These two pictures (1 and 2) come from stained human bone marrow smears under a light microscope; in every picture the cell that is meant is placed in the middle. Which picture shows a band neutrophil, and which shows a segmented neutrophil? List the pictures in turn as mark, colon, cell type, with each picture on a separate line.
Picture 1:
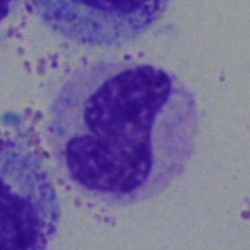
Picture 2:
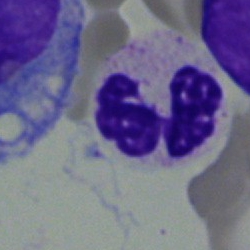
1: band neutrophil
2: segmented neutrophil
